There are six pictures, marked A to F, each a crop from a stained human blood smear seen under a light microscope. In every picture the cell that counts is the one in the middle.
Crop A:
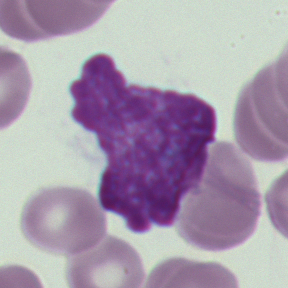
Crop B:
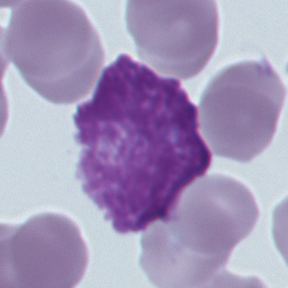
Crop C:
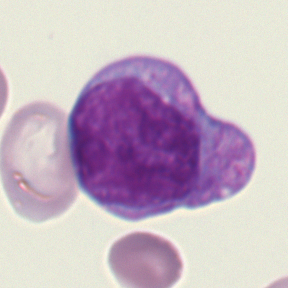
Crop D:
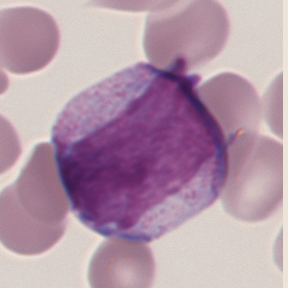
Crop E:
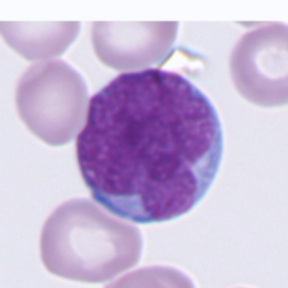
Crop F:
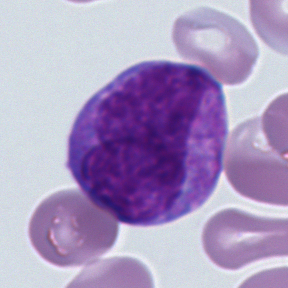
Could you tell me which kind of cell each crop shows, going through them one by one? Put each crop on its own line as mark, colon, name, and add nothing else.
A: smudge cell
B: smudge cell
C: atypical promyelocyte
D: atypical promyelocyte
E: myeloblast
F: atypical promyelocyte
